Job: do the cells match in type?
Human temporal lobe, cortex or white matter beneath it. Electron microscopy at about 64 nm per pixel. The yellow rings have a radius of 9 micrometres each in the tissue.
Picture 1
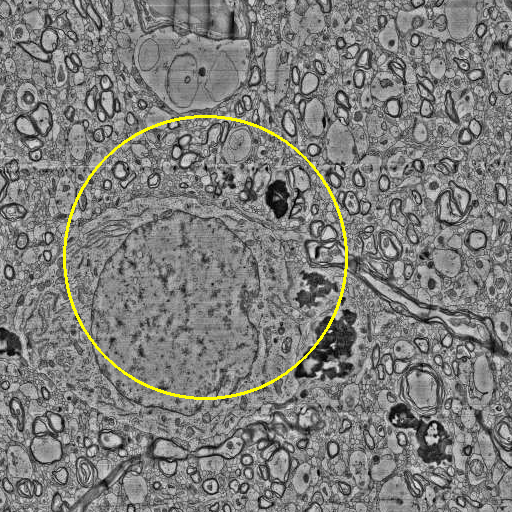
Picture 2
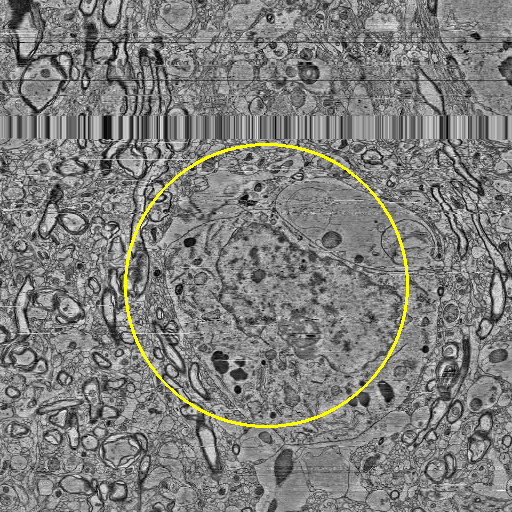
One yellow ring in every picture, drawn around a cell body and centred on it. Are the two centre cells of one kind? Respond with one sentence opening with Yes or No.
Yes, the ringed cells in the two pictures are of one and the same kind.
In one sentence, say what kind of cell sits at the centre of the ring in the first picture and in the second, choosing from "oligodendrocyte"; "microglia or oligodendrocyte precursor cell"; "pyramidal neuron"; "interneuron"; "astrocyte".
In each picture the ringed cell is an interneuron.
